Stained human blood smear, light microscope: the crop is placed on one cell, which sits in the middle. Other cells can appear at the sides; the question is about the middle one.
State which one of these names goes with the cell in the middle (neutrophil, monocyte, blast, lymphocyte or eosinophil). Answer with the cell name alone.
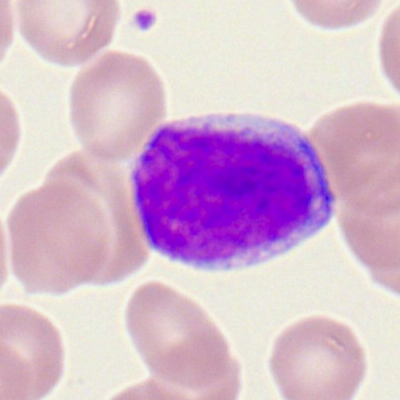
blast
